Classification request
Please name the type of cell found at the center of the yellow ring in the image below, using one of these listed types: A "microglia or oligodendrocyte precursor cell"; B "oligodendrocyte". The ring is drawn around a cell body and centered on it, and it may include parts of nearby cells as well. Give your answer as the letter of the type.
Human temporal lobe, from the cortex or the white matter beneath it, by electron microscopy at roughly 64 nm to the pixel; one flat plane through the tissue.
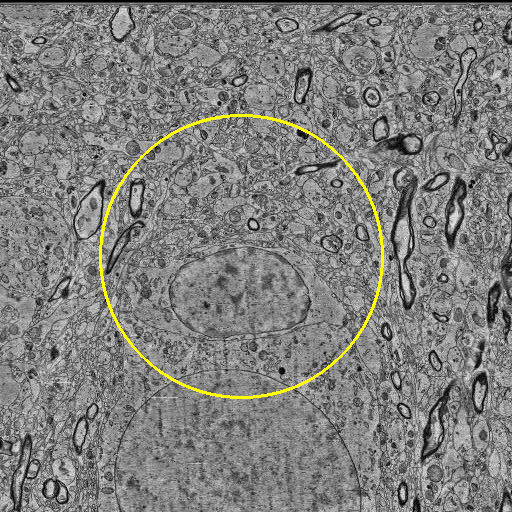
A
